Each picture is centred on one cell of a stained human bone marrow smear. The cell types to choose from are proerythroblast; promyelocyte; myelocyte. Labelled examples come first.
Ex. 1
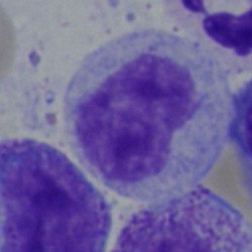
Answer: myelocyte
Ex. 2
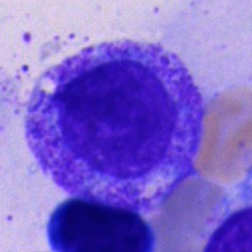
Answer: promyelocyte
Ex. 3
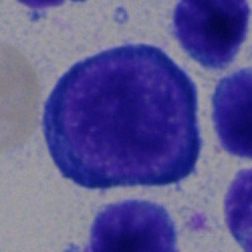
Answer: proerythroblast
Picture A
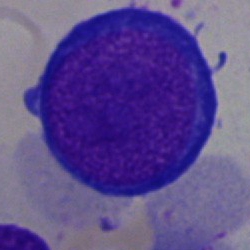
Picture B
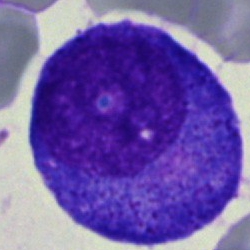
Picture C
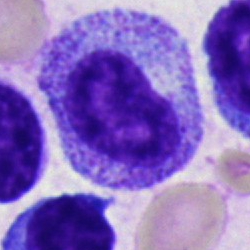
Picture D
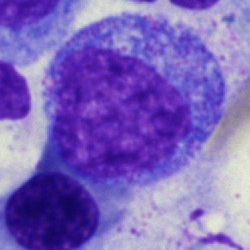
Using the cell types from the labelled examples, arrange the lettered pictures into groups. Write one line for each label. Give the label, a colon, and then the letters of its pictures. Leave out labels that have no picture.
proerythroblast: A
promyelocyte: B, D
myelocyte: C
